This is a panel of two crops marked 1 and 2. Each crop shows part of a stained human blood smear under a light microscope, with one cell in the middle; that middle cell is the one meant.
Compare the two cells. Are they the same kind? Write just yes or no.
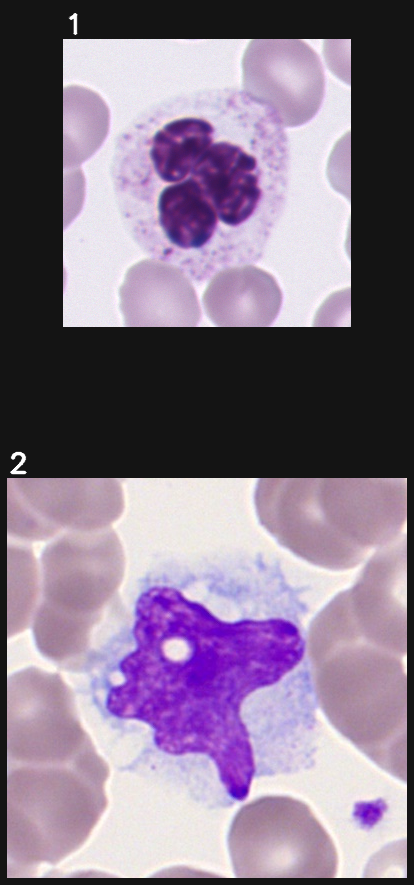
no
